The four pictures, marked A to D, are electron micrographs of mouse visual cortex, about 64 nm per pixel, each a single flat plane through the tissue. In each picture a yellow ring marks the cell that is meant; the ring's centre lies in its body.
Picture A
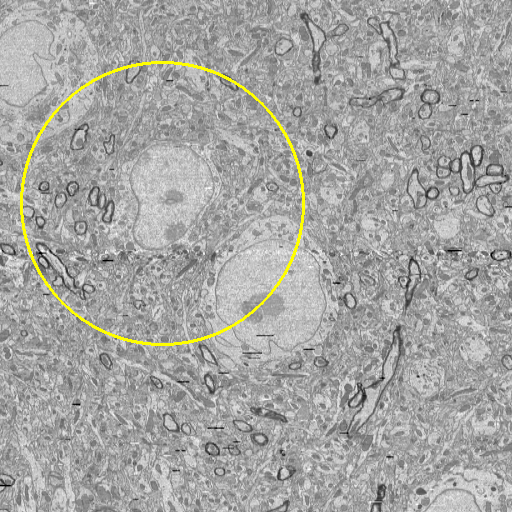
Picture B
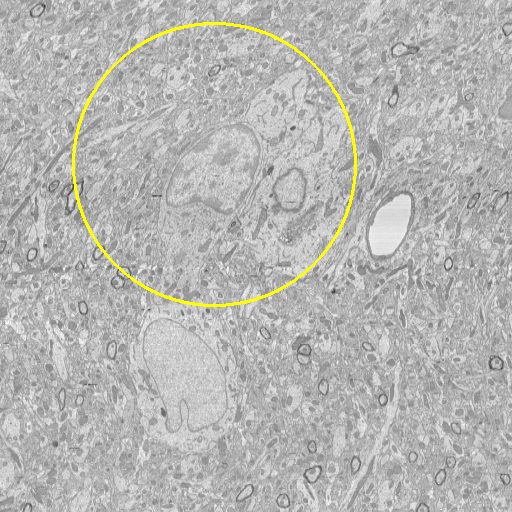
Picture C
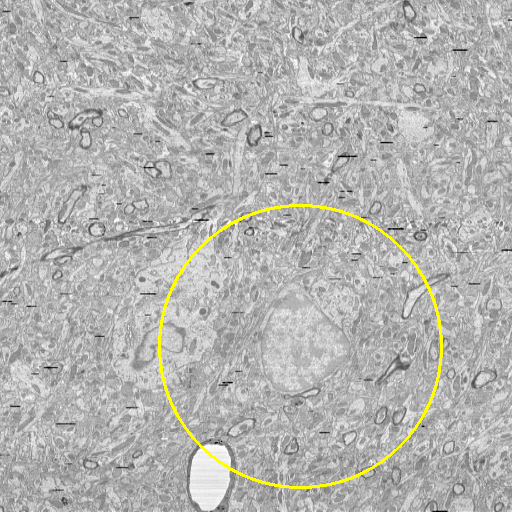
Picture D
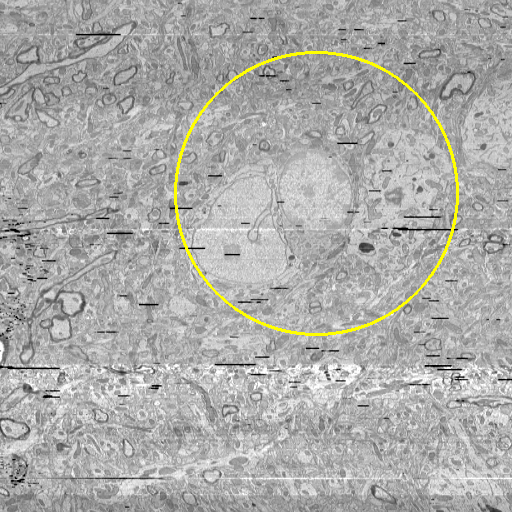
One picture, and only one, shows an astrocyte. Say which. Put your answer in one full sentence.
The picture with the astrocyte is A.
